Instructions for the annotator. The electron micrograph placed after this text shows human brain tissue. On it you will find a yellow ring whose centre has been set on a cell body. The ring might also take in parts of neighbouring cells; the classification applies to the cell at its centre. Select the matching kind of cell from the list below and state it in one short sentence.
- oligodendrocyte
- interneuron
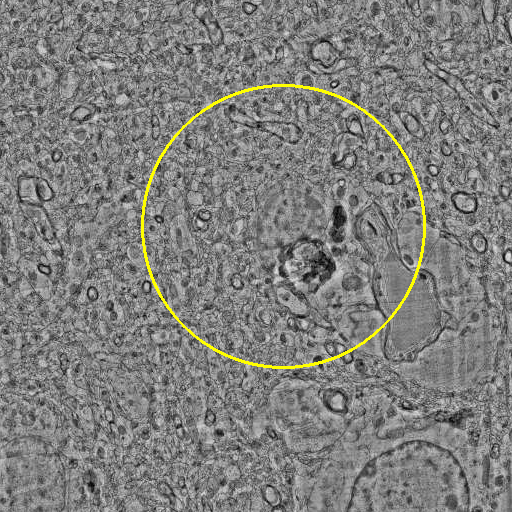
The ring is drawn on the cell body of an oligodendrocyte.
